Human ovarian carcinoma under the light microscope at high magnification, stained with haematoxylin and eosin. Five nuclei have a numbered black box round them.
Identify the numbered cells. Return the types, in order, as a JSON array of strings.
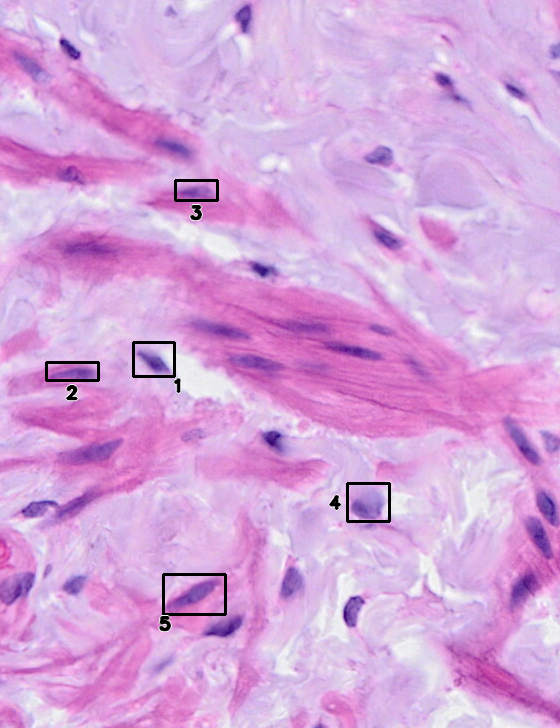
["fibroblast", "smooth muscle cell", "smooth muscle cell", "fibroblast", "smooth muscle cell"]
